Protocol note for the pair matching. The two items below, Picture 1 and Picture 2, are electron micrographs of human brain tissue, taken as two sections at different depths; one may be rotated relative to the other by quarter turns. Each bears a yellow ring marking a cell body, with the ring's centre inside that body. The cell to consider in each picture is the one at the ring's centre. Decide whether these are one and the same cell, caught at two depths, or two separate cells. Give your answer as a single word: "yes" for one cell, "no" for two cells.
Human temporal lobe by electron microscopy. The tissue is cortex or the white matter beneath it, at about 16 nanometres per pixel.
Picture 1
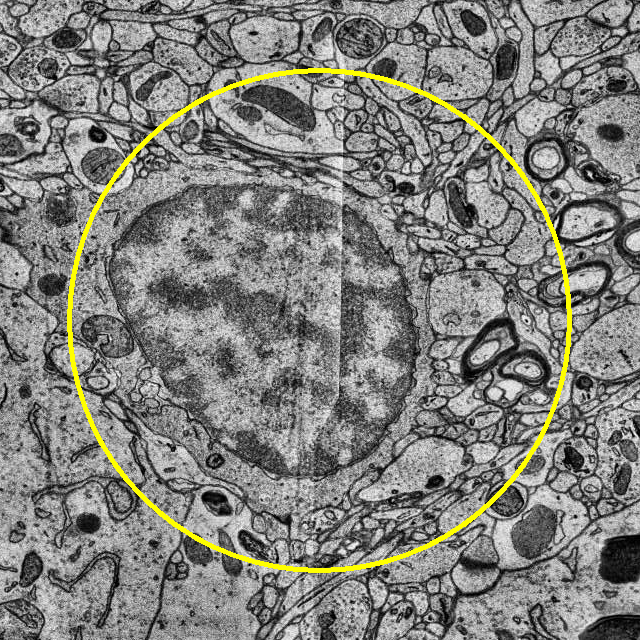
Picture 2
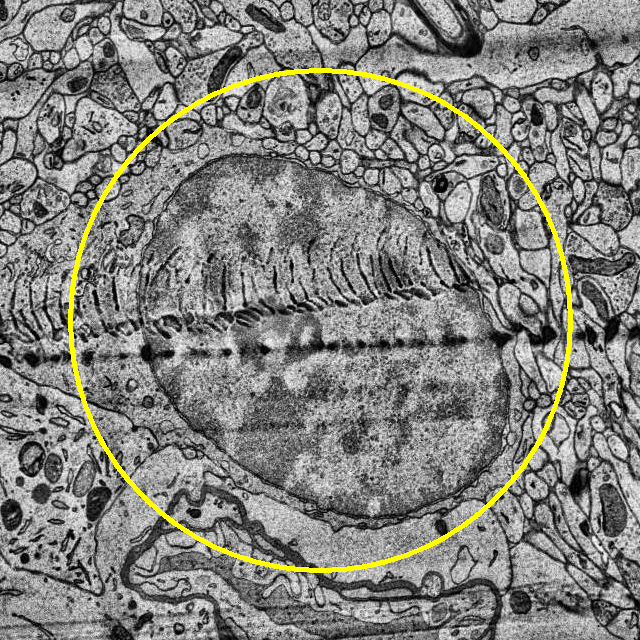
no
